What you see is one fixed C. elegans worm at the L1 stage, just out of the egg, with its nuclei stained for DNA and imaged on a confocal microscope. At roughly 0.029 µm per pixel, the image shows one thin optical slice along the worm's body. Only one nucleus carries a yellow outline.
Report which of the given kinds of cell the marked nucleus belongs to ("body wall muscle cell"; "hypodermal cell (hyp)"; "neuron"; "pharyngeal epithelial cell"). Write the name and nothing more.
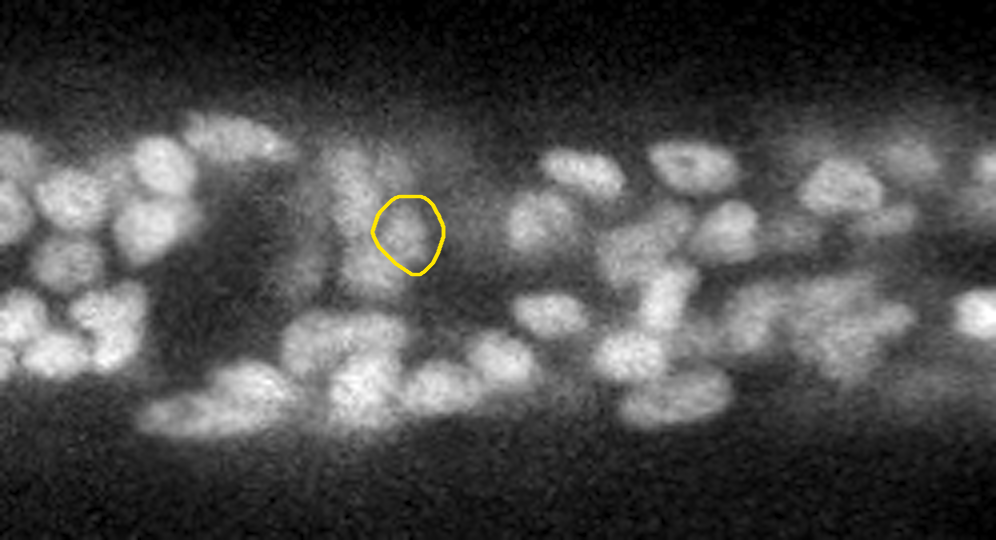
neuron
